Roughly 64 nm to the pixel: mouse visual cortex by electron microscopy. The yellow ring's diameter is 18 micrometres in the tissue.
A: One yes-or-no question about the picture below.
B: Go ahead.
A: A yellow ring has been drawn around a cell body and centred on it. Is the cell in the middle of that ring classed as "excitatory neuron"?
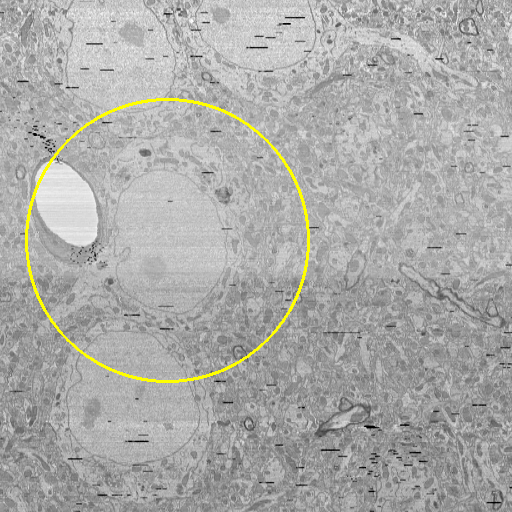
Yes, it is classed that way.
